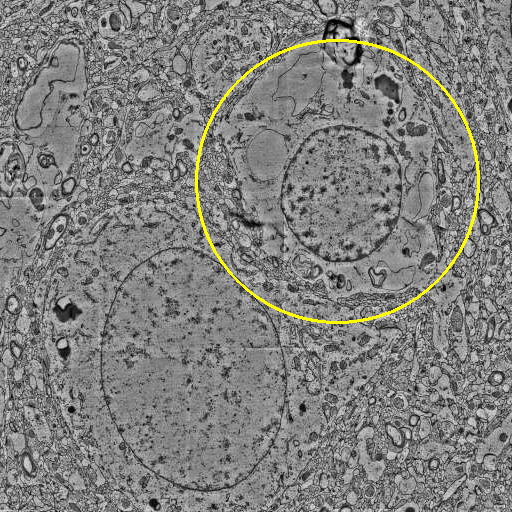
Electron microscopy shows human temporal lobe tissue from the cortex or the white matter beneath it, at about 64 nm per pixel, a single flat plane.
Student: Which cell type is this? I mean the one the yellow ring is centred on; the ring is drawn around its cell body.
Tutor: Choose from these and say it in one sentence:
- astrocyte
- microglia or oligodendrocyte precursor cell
The cell the ring is centred on is an astrocyte.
